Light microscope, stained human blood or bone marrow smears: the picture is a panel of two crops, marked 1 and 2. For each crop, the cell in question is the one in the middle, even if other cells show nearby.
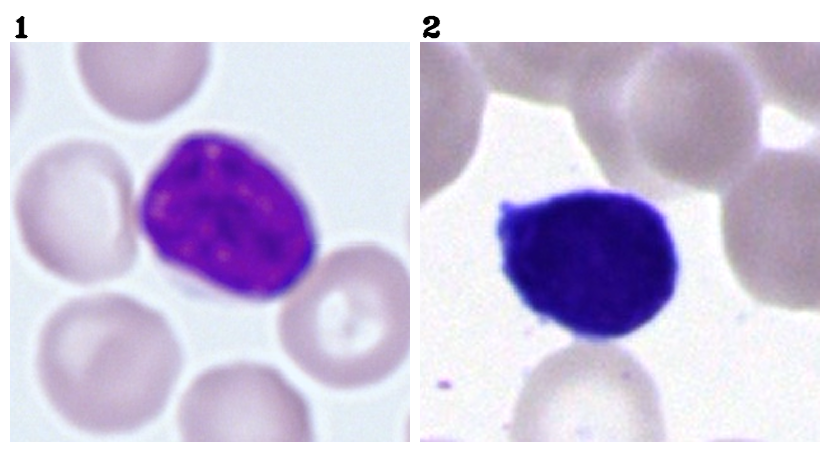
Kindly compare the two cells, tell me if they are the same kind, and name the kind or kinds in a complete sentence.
Yes, the central cells, in both crops, are lymphocytes.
